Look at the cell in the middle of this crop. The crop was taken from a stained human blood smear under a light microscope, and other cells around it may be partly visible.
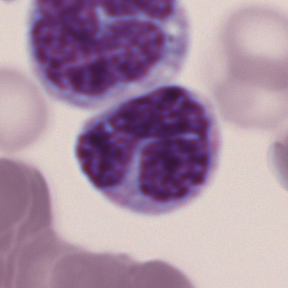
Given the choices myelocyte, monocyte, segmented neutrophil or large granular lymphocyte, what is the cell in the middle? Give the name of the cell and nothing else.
monocyte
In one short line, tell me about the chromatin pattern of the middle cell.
One feature to record is coarsely clumped chromatin.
